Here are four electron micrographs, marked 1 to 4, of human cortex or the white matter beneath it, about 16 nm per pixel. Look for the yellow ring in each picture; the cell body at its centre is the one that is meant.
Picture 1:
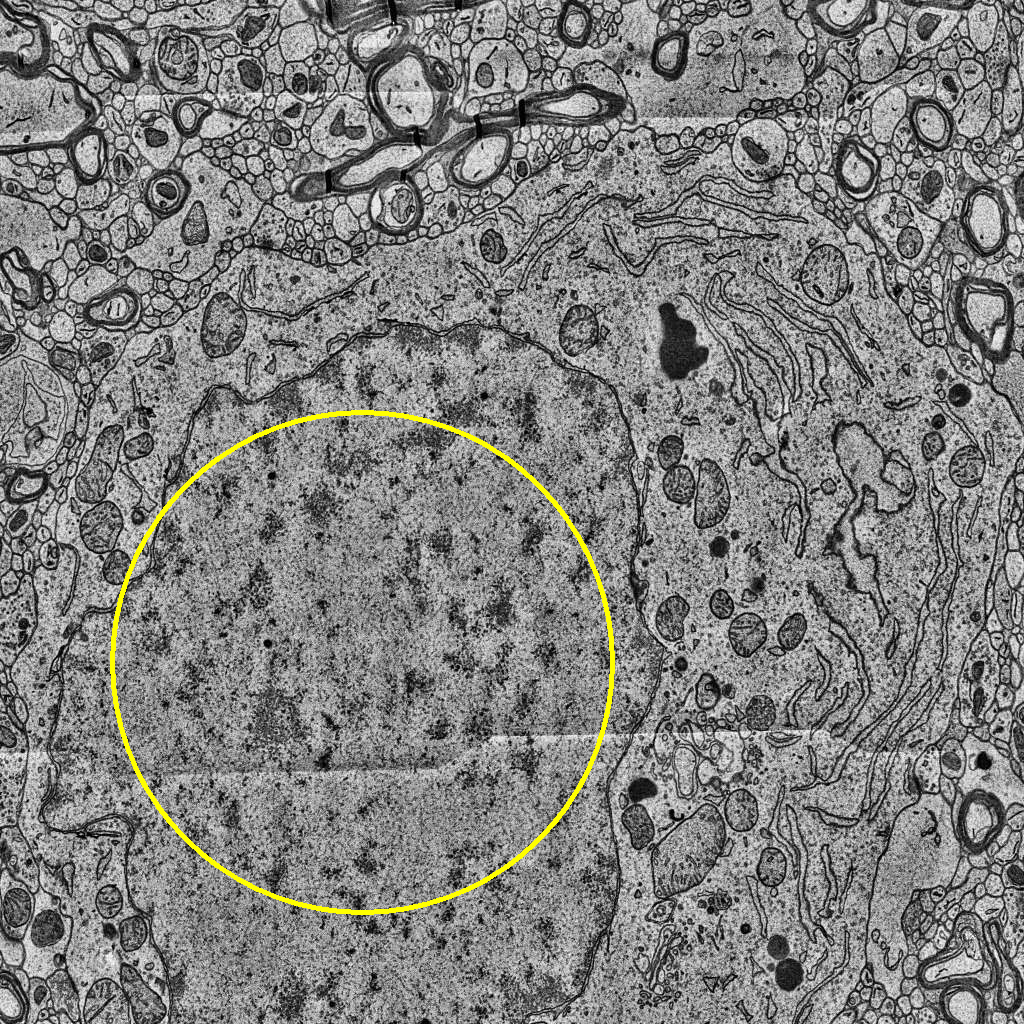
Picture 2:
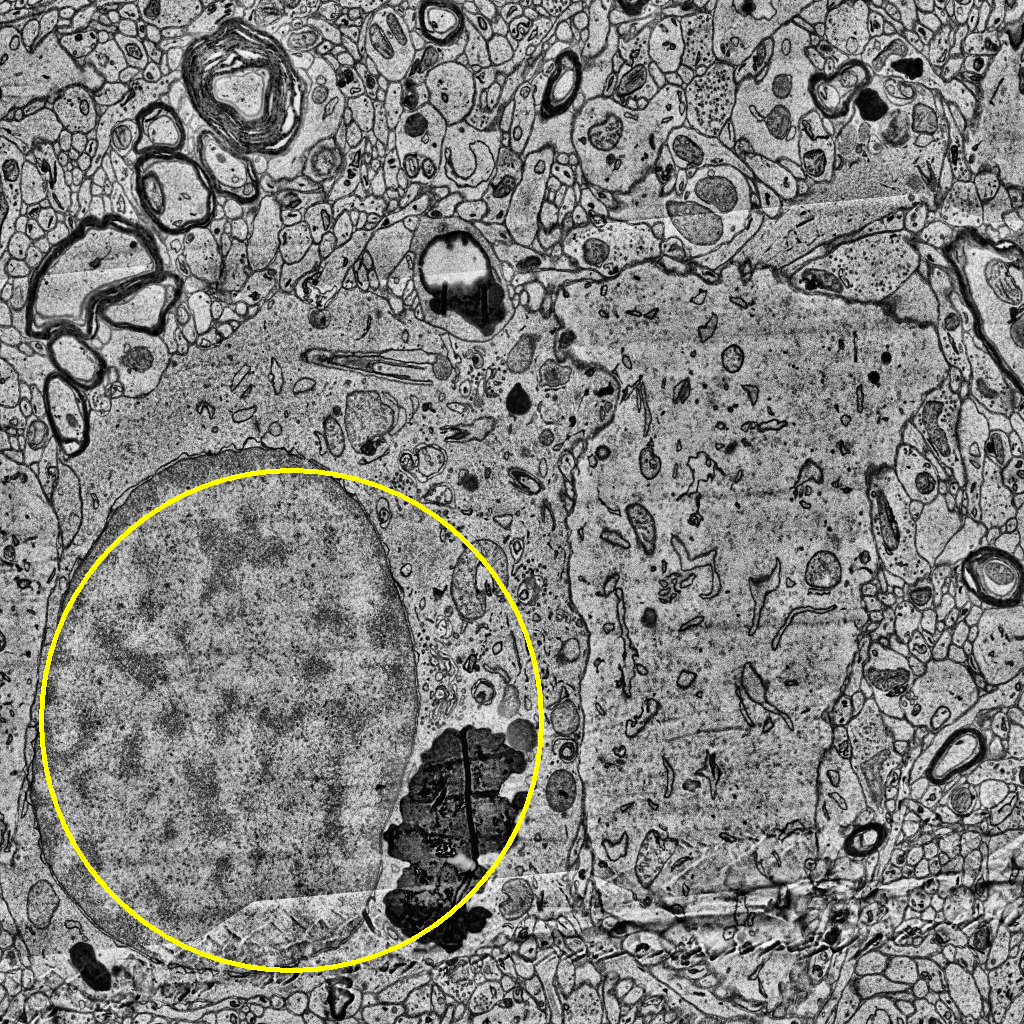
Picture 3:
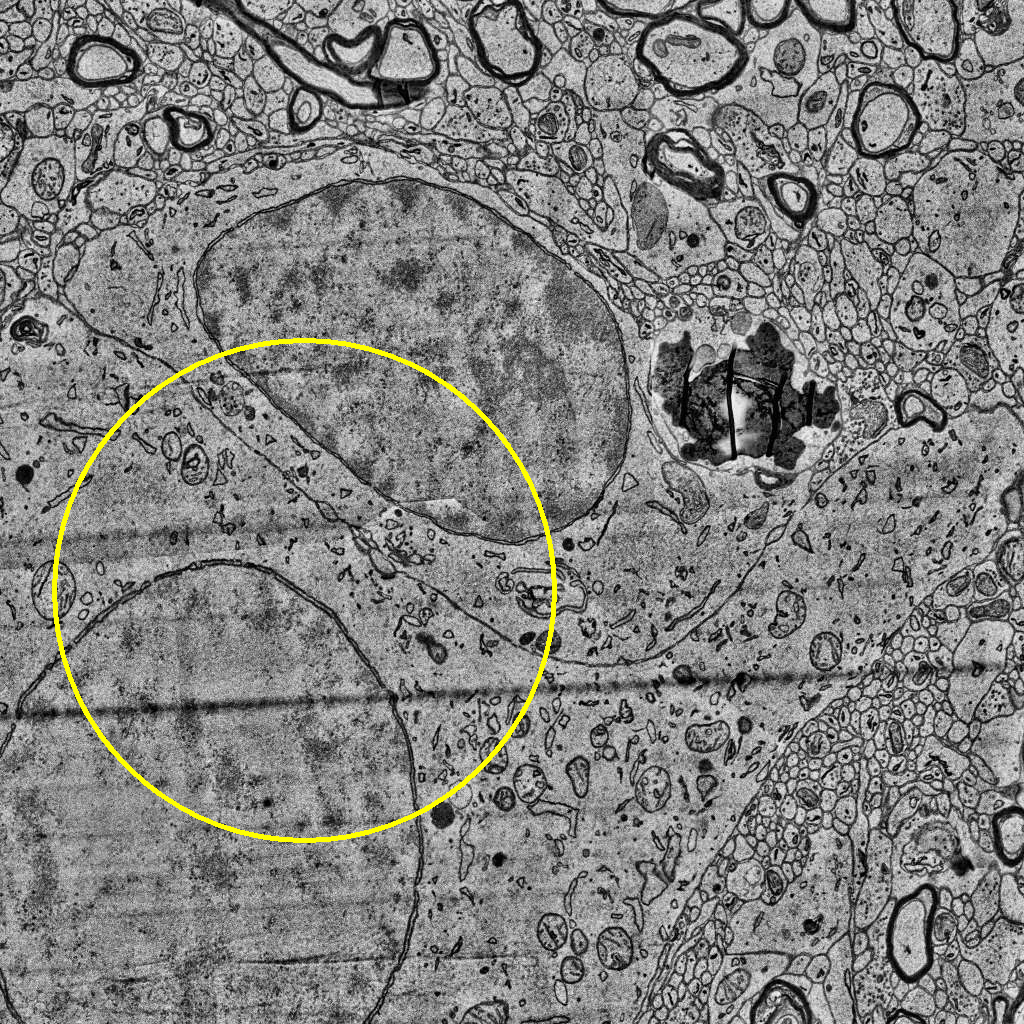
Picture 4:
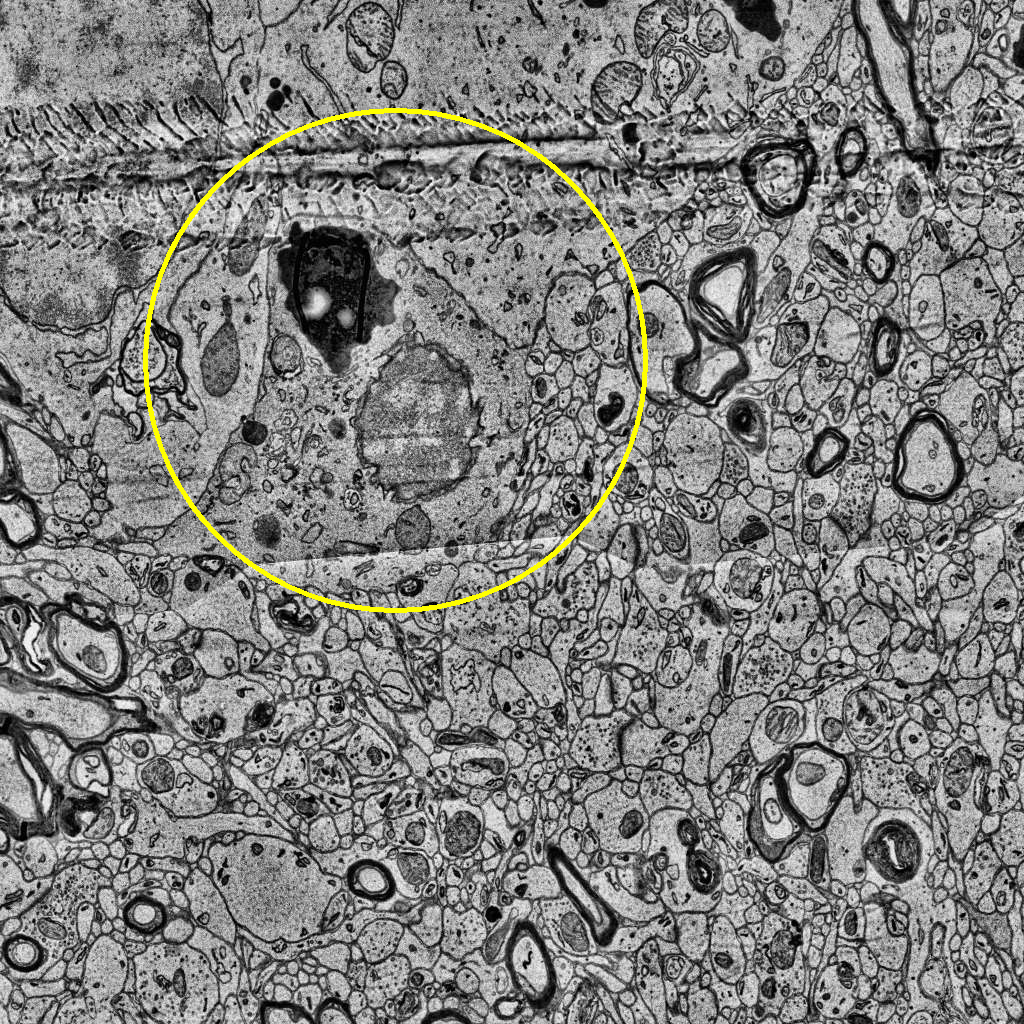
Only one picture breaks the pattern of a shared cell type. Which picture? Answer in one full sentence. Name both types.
The others show oligodendrocytes, but picture 1 shows an interneuron.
